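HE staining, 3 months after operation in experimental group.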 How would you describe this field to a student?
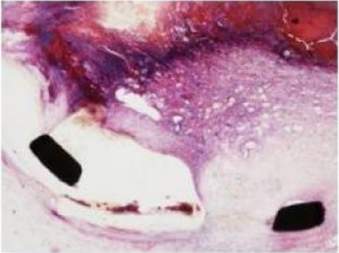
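Vessel wall with thickened neointima beneath a thrombus. Dark red thrombus material lies at the top, merging into a band of dense purple-staining tissue. Below it a broad paler pink-violet layer contains many small clear vacuoles. Black rectangular strut profiles sit in clear spaces within the thickened wall near the bottom.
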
